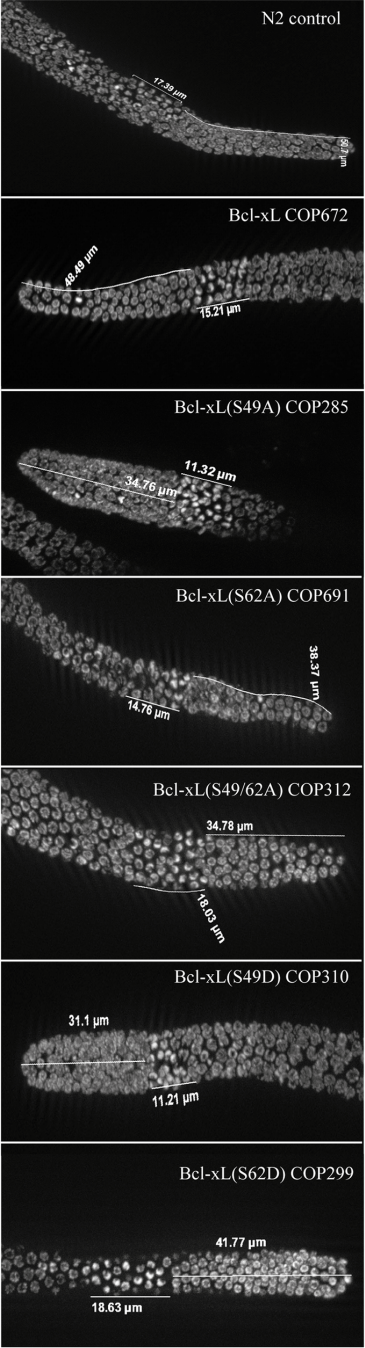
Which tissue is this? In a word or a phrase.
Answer: Gonads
